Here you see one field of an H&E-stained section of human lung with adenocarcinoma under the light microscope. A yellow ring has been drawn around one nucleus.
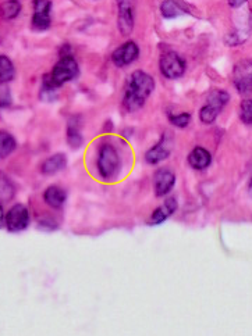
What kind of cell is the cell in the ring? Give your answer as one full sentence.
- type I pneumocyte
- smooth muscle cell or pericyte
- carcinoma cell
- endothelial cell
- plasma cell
Assigned to a cell type, the cell in the ring is a plasma cell.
